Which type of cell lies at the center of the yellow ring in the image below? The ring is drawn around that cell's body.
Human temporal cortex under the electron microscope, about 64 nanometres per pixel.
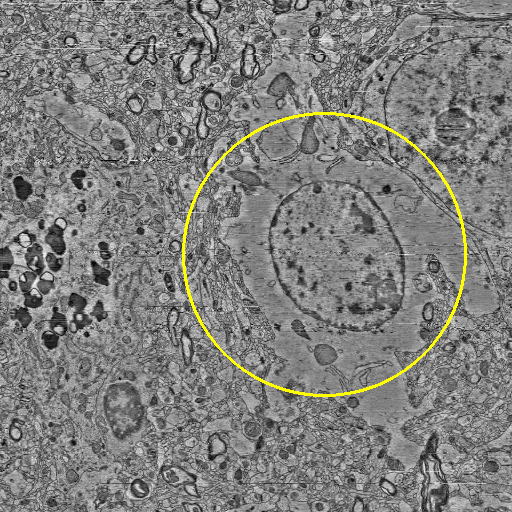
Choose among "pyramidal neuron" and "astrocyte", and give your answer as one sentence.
The cell body at the center belongs to an astrocyte.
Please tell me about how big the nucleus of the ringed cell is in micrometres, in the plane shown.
Approximately 10 by 8 micrometers in this plane.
